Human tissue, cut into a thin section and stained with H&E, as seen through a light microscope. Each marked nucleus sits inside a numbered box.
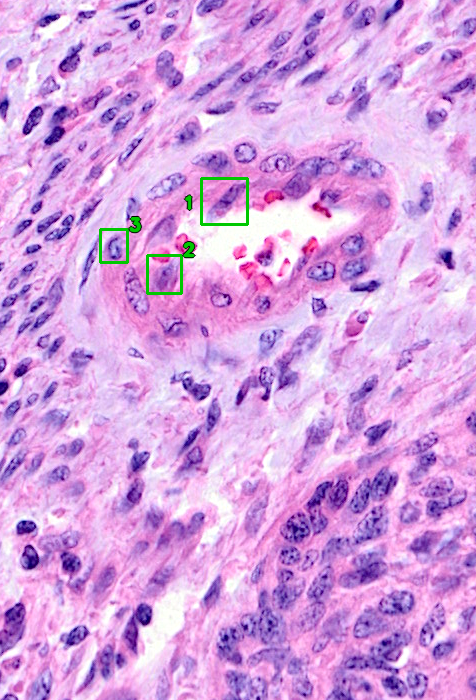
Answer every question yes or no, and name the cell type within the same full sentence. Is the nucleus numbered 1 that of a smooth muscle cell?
No, the cell under number 1 is an endothelial cell instead of a smooth muscle cell.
